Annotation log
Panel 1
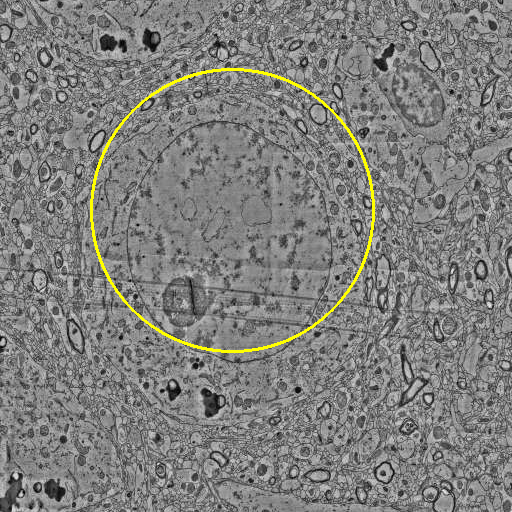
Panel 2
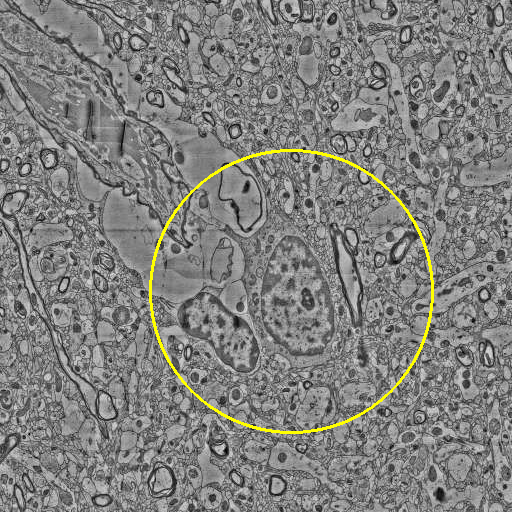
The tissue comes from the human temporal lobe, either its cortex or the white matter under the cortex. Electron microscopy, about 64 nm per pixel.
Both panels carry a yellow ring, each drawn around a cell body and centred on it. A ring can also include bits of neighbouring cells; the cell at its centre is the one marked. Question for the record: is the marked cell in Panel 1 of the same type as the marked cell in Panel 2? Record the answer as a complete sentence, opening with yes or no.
No, the marked cells in Panel 1 and Panel 2 are of two types.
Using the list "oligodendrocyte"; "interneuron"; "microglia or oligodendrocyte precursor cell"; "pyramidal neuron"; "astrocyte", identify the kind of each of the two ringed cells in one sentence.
The first is a pyramidal neuron and the second is an oligodendrocyte.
